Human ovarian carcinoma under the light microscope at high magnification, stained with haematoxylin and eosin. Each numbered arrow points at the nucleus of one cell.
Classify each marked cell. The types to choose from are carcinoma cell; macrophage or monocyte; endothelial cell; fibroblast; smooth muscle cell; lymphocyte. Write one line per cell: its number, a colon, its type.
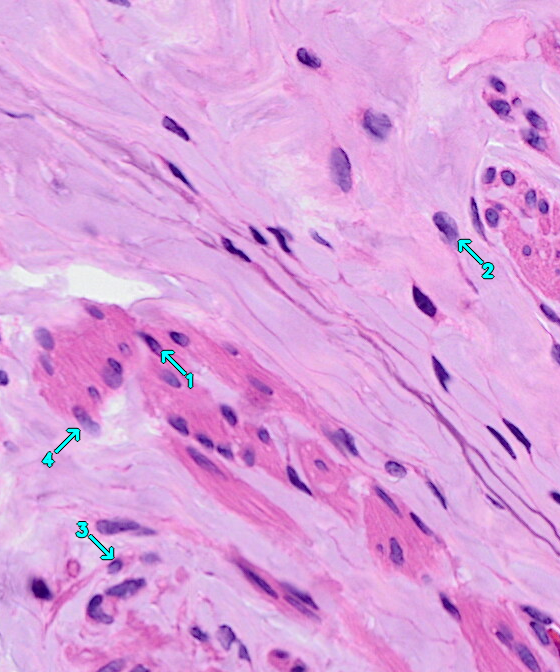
1: smooth muscle cell
2: fibroblast
3: smooth muscle cell
4: smooth muscle cell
